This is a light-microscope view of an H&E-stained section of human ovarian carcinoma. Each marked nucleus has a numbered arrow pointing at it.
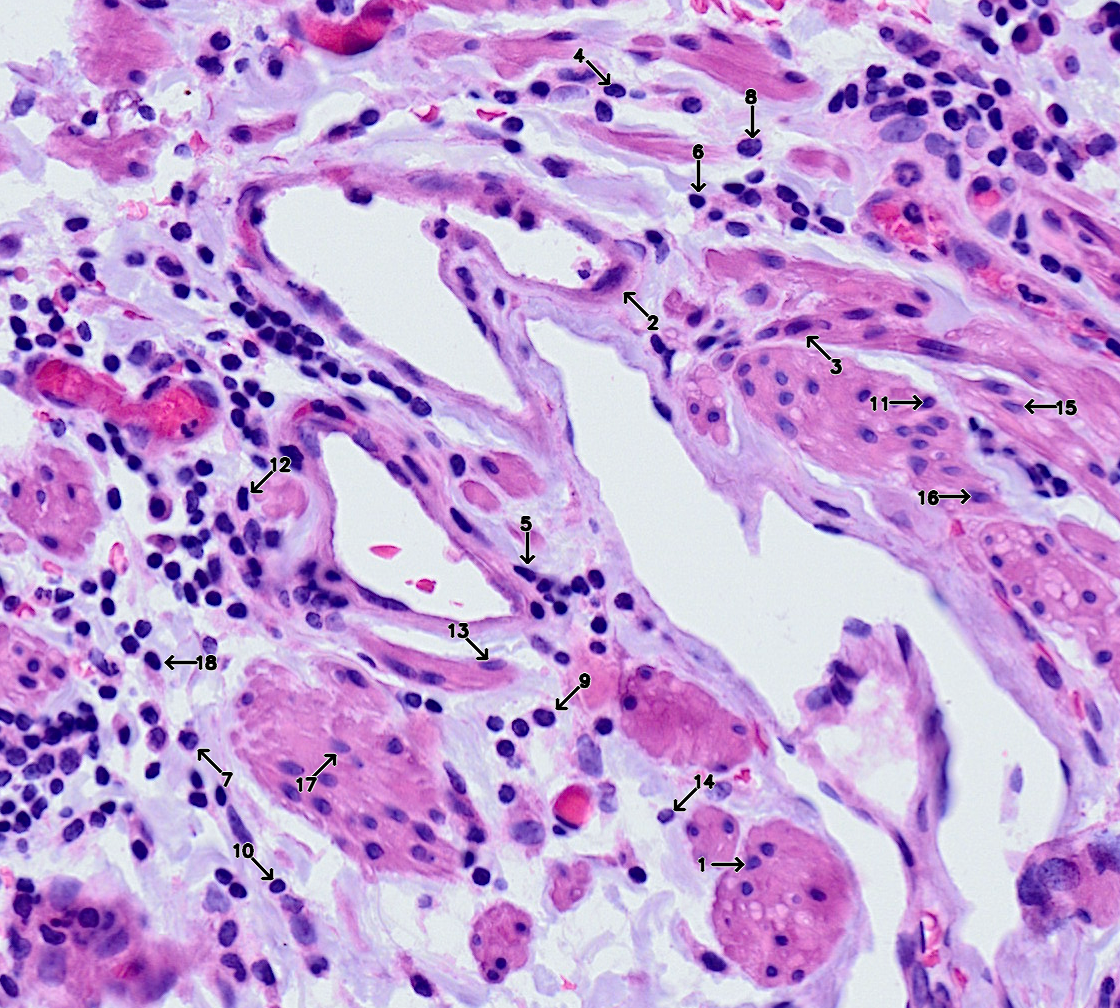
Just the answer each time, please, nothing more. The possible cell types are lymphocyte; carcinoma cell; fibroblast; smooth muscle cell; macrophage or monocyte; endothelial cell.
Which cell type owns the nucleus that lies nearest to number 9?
lymphocyte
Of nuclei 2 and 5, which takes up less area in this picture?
5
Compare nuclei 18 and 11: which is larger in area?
18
